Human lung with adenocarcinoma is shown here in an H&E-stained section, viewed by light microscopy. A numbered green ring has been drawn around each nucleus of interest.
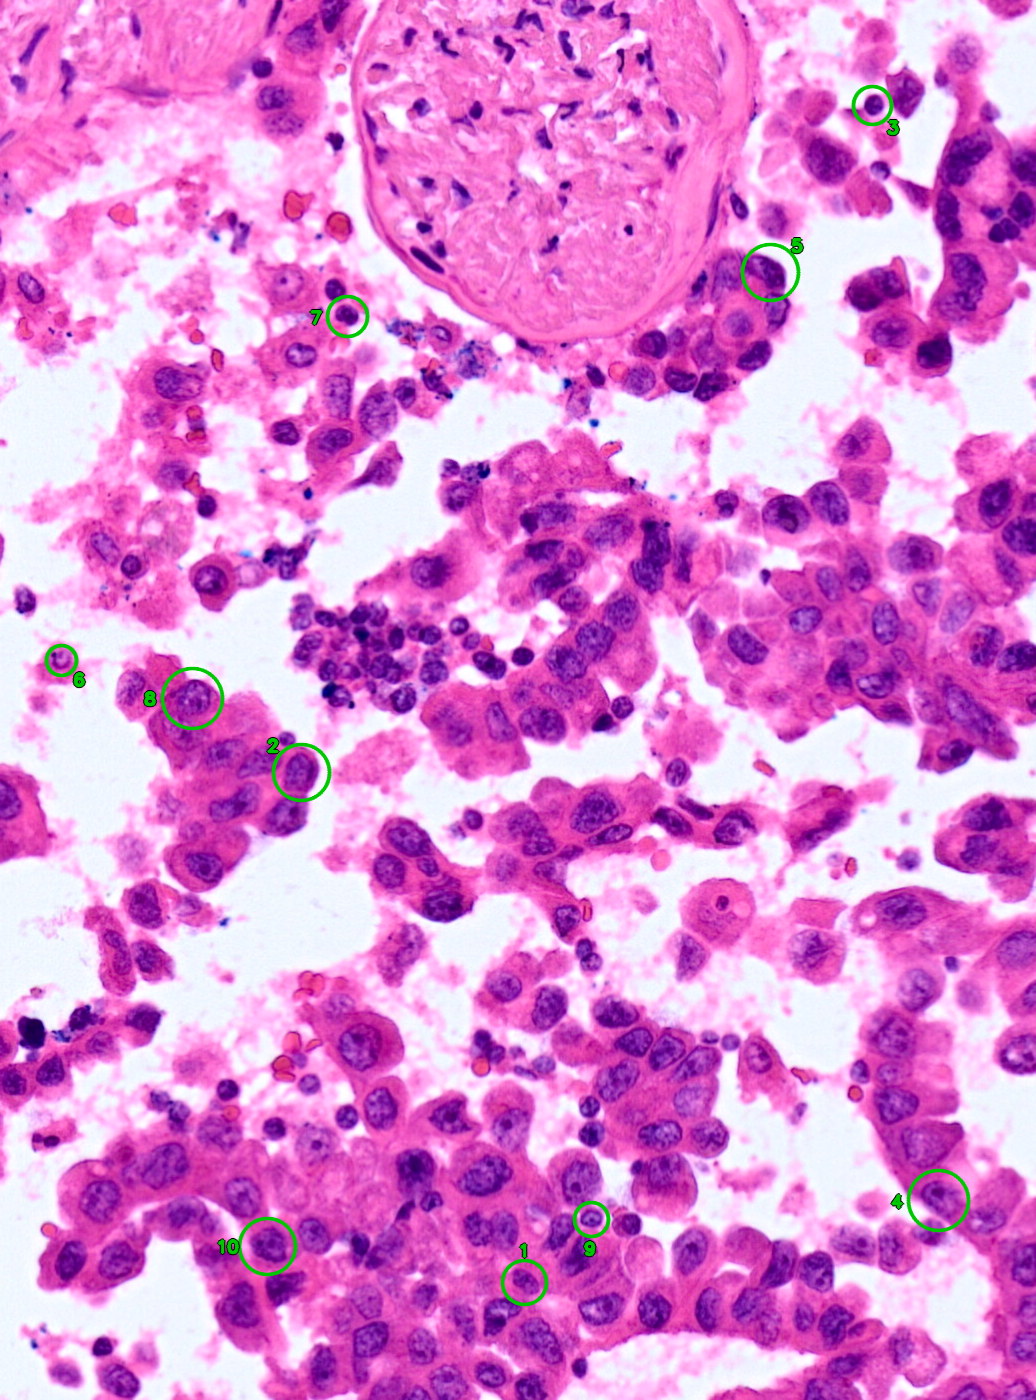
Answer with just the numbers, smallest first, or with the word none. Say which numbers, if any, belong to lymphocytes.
3, 7, 9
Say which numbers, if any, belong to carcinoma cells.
1, 2, 4, 5, 8, 10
